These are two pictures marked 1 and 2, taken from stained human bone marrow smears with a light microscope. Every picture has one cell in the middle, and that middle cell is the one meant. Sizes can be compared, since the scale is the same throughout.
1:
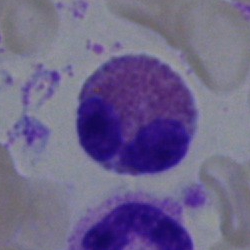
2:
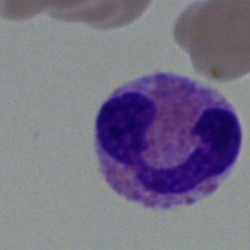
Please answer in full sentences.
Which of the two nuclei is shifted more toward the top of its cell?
Seen within its cell, the nucleus in crop 2 lies further toward the top.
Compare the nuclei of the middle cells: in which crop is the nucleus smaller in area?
The nucleus in crop 1 is smaller; the one in crop 2 has about 1.5 times its area.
